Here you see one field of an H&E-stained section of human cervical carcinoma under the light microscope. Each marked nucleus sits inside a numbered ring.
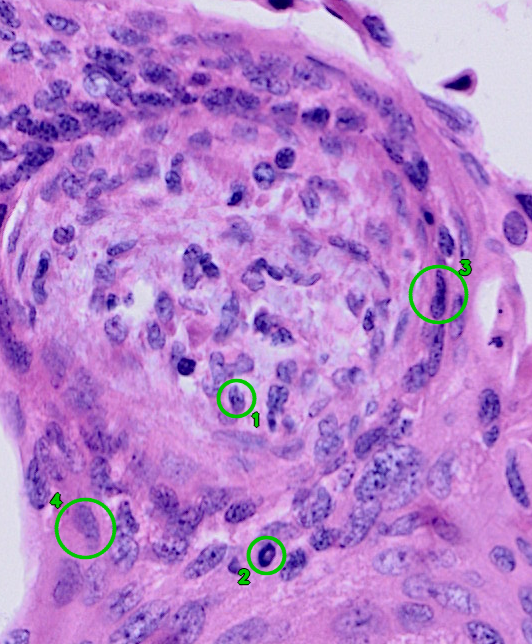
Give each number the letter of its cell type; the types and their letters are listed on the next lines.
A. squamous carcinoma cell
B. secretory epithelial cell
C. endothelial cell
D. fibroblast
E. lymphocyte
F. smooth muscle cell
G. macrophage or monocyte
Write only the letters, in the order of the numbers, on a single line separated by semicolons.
E; A; A; A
